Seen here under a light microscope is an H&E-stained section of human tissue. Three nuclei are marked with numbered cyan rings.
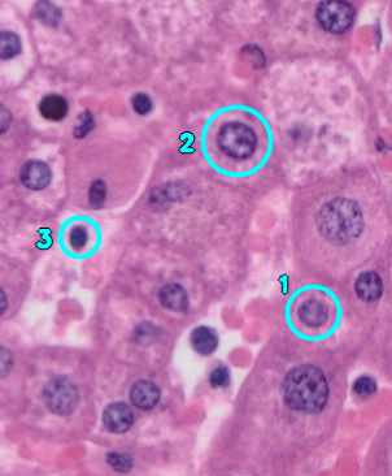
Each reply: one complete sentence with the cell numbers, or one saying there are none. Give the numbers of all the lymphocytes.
Exactly one numbered cell is a lymphocyte, and that cell is number 3.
